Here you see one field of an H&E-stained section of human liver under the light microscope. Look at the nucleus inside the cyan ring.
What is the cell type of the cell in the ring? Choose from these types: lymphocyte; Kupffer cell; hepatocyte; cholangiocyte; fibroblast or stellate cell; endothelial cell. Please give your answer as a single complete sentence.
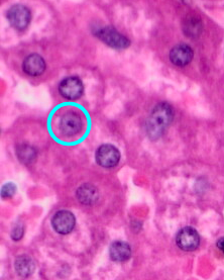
Placed in its cell category, the cell in the ring is a hepatocyte.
